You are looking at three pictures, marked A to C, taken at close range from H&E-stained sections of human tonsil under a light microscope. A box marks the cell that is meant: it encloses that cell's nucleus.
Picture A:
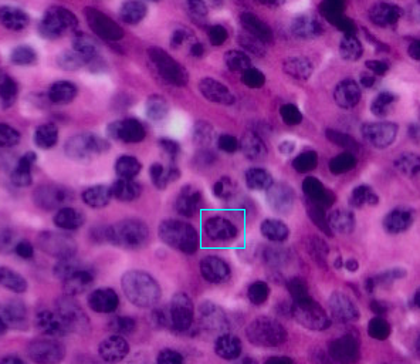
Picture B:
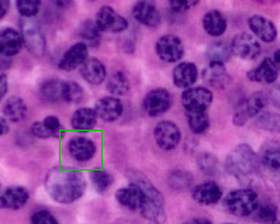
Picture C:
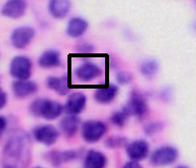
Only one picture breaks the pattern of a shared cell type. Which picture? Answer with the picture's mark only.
C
